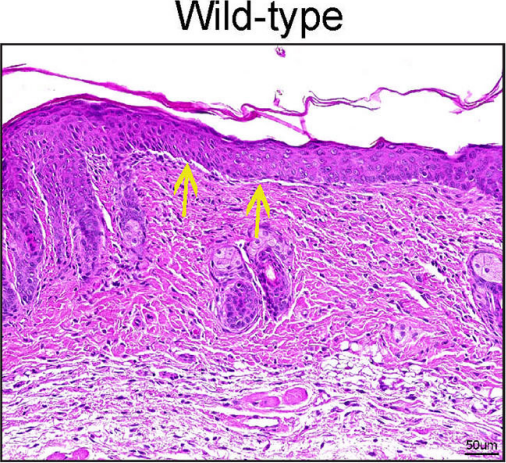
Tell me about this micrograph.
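Section of skin with a stratified squamous epidermis lying on the dermis, its cornified layer lifted away as thin pink strands at the top. The epidermis has several layers of keratinocytes with purple nuclei. Along its base a narrow pale line marks a slight separation from the dermis. The dermis is pink collagen with scattered spindle-shaped nuclei, and holds hair follicles and sebaceous glands, with clusters of cells with dark nuclei. Toward the bottom lie clear, empty-looking fat cells and strands of muscle.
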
